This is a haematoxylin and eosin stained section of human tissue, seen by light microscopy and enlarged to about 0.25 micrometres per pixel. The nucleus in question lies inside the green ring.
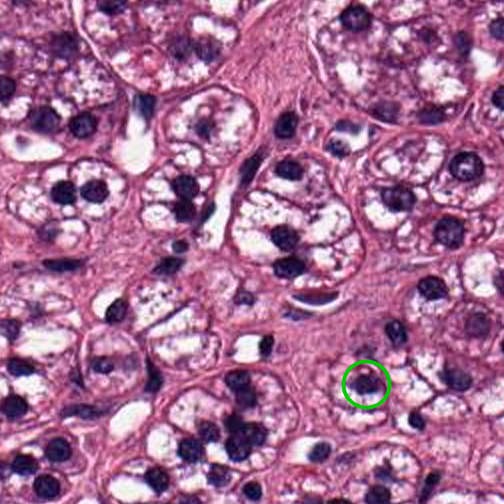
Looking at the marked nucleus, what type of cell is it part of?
adrenal cortical cell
